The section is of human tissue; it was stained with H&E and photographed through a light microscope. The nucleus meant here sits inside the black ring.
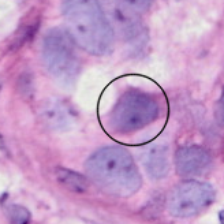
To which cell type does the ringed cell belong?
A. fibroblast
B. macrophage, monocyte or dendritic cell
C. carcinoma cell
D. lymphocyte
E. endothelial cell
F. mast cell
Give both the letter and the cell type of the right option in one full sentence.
Of the options offered, C is correct, as the ringed cell is a carcinoma cell.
